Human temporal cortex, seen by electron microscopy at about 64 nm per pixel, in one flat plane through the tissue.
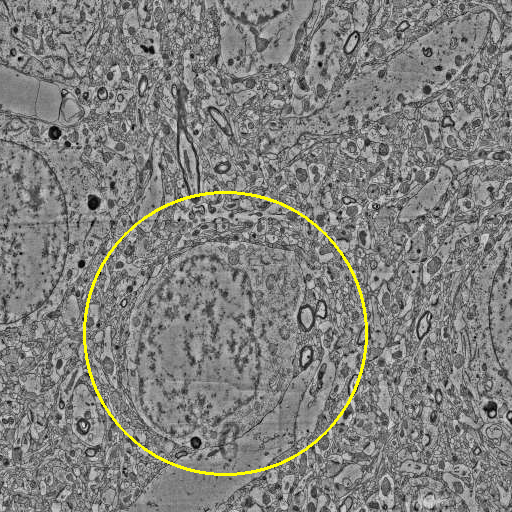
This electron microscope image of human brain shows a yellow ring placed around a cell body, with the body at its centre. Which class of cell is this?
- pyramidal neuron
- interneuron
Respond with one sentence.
The cell body at the ring's centre is an interneuron.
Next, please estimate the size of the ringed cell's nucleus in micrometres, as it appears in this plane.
In this plane, the nucleus is roughly 12 by 8 micrometres.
